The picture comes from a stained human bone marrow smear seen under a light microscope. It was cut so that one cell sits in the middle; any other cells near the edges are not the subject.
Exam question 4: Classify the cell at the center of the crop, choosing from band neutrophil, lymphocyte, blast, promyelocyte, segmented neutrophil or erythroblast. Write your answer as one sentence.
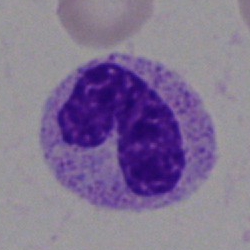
In the crop, the cell of interest at the centre is a band neutrophil.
